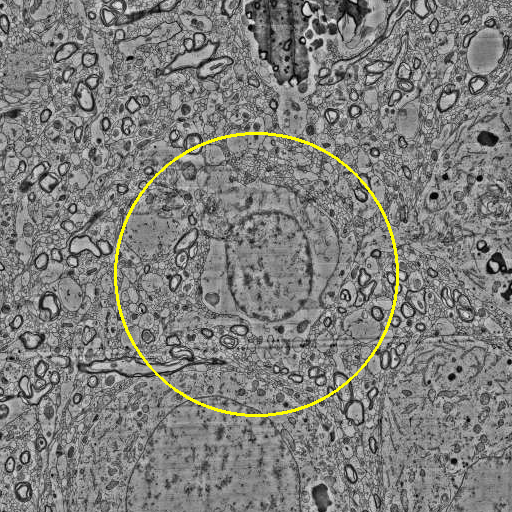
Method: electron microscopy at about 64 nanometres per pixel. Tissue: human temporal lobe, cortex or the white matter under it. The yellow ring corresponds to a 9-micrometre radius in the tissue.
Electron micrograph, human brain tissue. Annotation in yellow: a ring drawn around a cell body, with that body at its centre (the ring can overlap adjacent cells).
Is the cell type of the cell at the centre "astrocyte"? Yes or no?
Yes, it is of that type.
